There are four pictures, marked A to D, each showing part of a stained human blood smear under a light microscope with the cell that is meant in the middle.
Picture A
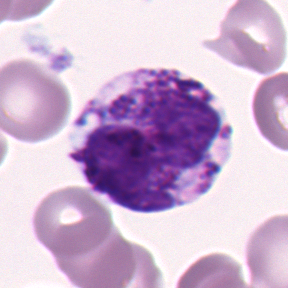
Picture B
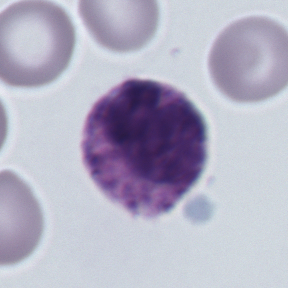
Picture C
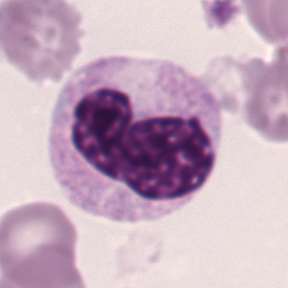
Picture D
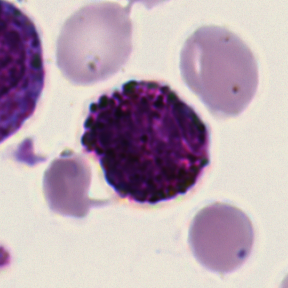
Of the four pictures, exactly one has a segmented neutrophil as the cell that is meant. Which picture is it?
C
